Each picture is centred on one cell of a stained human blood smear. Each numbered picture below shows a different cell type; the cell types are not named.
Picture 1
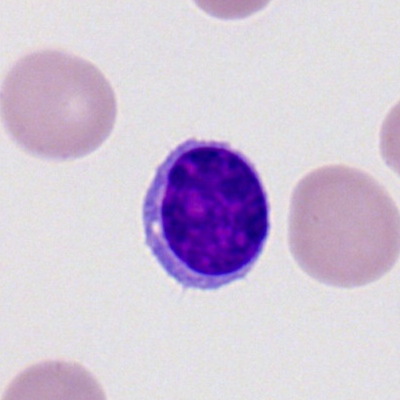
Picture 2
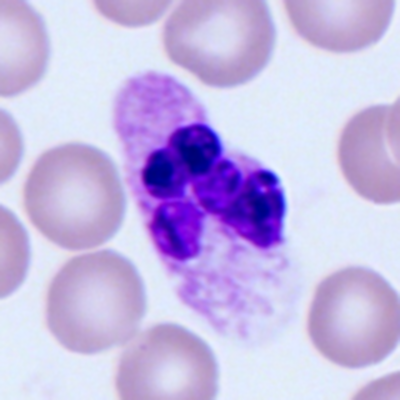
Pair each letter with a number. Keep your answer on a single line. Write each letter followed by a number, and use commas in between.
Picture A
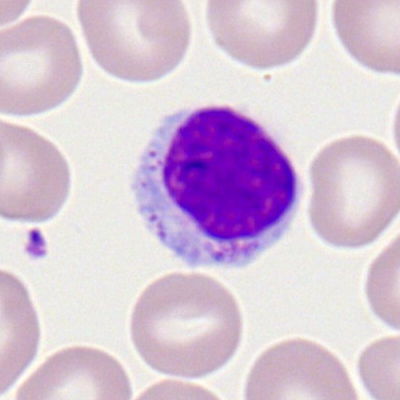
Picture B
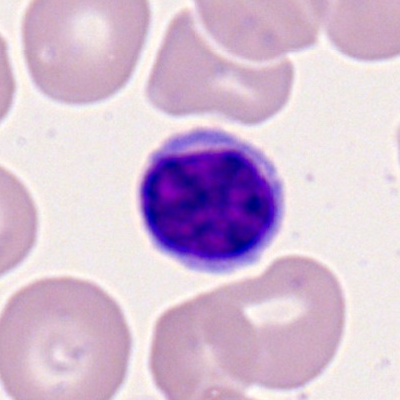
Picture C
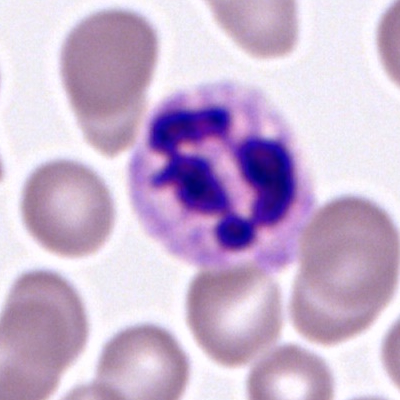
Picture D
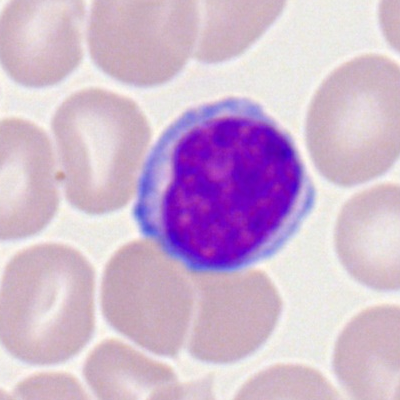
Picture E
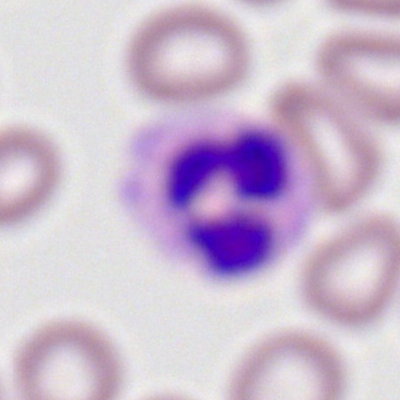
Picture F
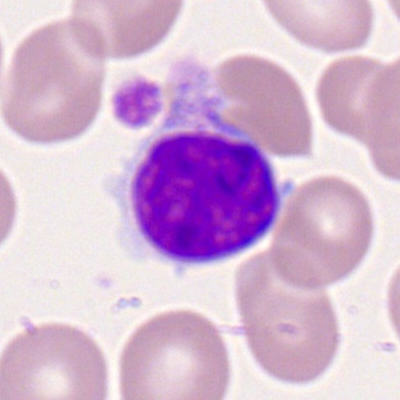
A 1, B 1, C 2, D 1, E 2, F 1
